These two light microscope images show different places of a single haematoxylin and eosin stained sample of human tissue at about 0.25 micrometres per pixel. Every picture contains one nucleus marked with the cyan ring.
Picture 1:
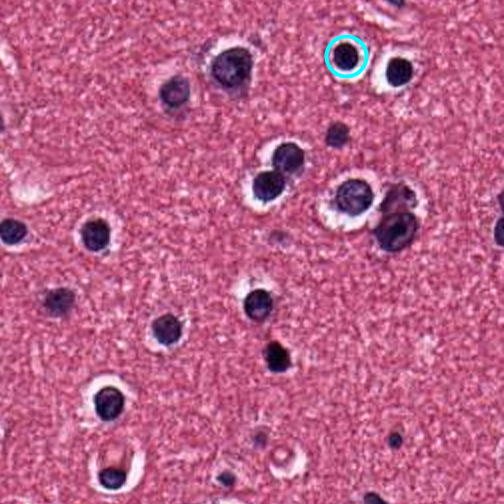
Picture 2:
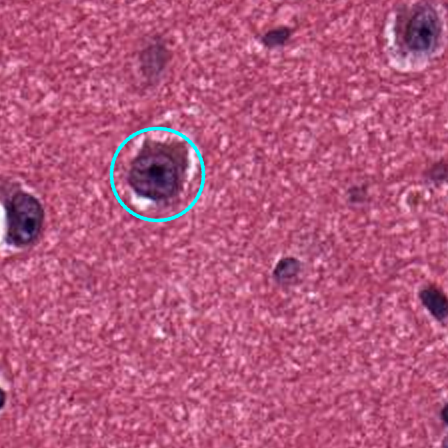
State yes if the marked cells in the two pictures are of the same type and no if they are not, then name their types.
No, the first is an oligodendrocyte and the second a neuron.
